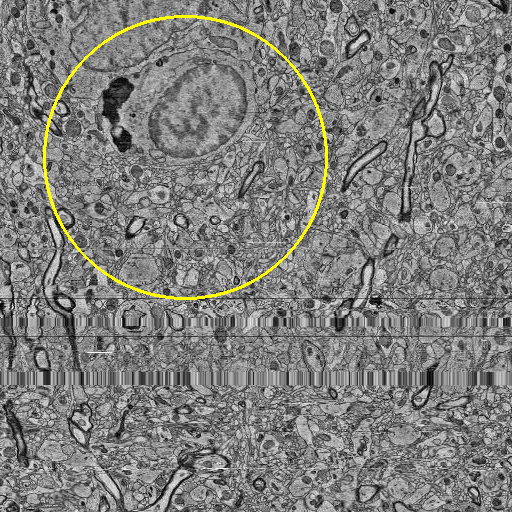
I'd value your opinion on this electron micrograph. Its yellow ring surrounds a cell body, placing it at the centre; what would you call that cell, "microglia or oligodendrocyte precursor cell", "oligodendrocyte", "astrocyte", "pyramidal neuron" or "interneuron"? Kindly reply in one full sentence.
It is an oligodendrocyte that sits centred within the yellow ring in this micrograph.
